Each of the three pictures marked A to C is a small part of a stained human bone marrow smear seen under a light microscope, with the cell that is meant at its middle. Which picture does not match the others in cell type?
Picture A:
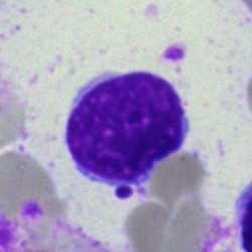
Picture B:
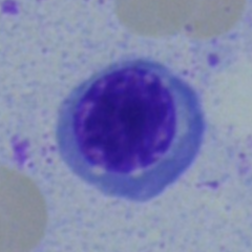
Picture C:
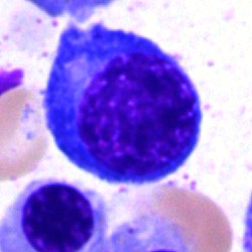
A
